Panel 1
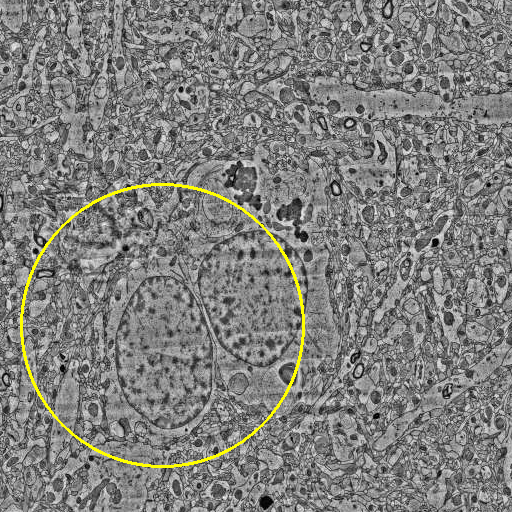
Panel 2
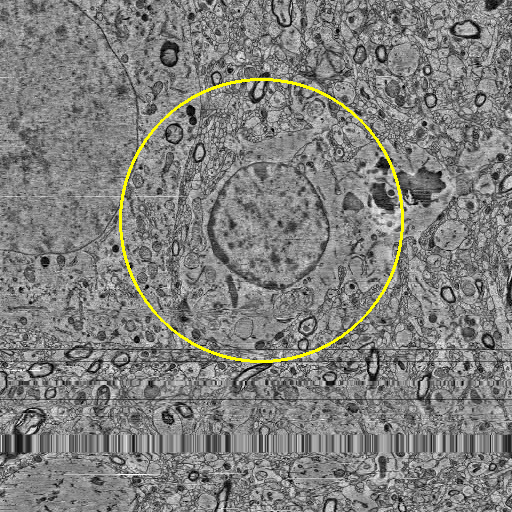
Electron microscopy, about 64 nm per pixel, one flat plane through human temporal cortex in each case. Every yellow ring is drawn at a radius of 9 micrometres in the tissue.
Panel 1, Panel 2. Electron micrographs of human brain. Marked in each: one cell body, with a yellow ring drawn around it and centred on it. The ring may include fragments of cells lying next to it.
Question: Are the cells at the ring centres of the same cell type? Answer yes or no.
yes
